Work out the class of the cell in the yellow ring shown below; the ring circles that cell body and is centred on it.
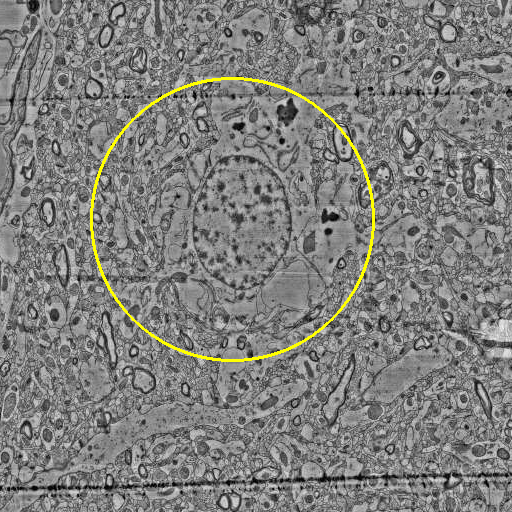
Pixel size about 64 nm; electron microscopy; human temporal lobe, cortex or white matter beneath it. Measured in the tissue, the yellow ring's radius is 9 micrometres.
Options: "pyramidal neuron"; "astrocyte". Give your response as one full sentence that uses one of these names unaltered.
The body ringed in yellow, right at the ring's centre, is that of an astrocyte.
